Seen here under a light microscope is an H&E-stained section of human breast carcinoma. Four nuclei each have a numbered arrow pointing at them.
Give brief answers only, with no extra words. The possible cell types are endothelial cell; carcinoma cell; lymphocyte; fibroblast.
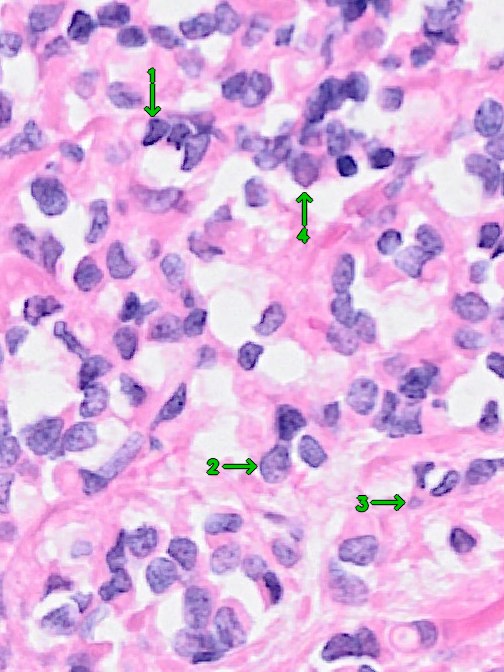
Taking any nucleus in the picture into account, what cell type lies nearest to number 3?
endothelial cell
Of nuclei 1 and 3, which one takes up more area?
1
